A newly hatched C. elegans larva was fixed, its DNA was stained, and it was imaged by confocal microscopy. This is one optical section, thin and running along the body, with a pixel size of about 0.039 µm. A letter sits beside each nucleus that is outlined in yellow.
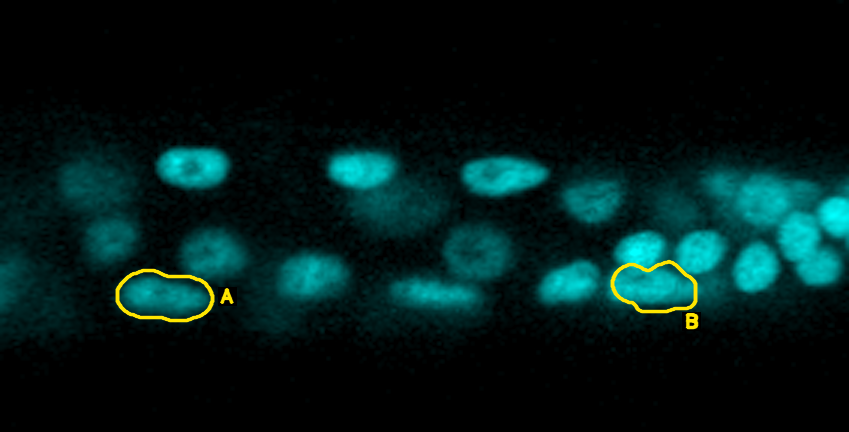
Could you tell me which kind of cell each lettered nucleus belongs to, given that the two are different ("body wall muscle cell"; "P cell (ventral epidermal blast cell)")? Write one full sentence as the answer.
One is from a body wall muscle cell, namely A, and the other, B, is from a P cell (ventral epidermal blast cell).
